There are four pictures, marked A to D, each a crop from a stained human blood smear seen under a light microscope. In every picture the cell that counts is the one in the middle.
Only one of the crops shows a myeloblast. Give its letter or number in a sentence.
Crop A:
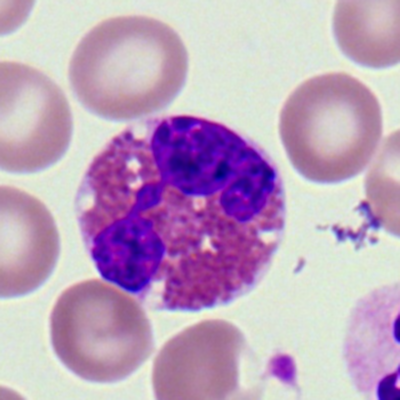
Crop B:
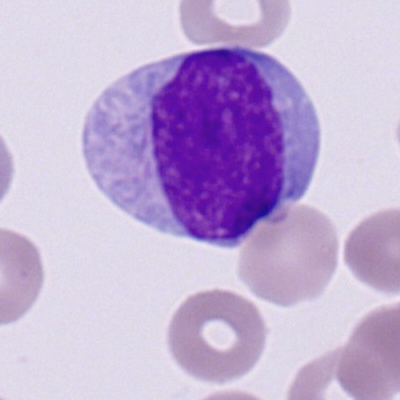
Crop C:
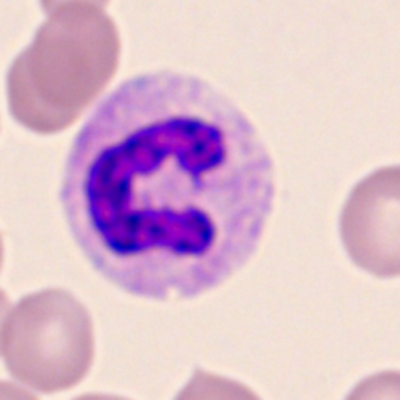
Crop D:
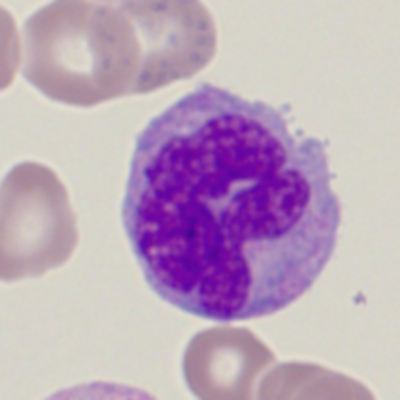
Among the crops, only crop B contains a myeloblast.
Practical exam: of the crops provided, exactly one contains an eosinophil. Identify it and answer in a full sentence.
The crop marked A is the one that shows an eosinophil.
